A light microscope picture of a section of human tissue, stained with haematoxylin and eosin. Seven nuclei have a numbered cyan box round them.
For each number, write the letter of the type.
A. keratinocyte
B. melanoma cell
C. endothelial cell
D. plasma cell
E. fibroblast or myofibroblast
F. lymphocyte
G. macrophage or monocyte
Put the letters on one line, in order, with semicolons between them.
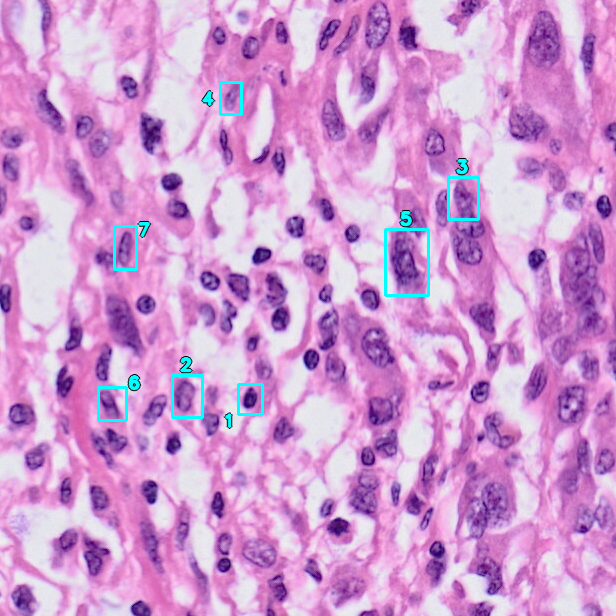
F; G; B; G; B; G; G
